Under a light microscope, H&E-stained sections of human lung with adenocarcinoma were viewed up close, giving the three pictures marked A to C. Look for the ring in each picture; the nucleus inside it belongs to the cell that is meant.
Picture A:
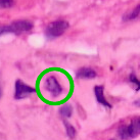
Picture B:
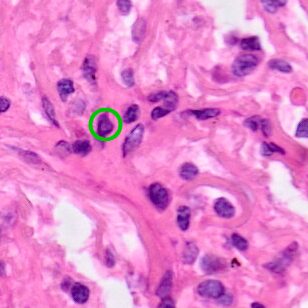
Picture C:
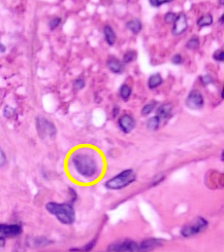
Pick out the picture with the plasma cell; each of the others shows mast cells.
B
